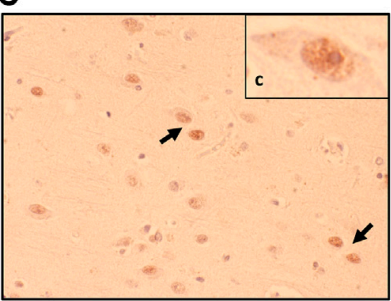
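Cortical gray matter with scattered neuronal cell bodies, including pyramidal neurons, in pale pink neuropil. Many cell bodies have round nuclei stained brown, some deeply so, while the surrounding cytoplasm is paler. The inset shows a large cell body whose round nucleus is filled with granular brown stain. Smaller bluish nuclei of other cells lie scattered between the neurons.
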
